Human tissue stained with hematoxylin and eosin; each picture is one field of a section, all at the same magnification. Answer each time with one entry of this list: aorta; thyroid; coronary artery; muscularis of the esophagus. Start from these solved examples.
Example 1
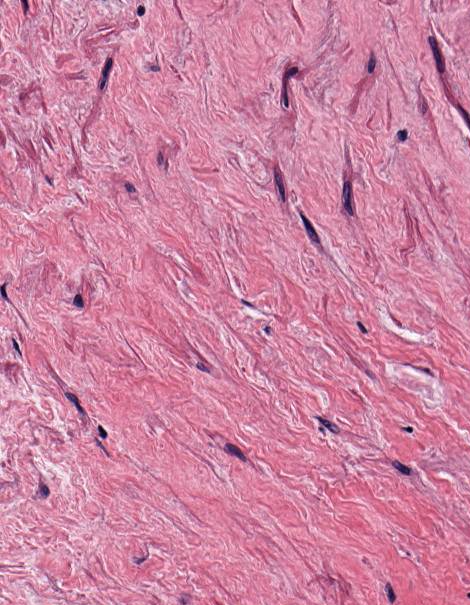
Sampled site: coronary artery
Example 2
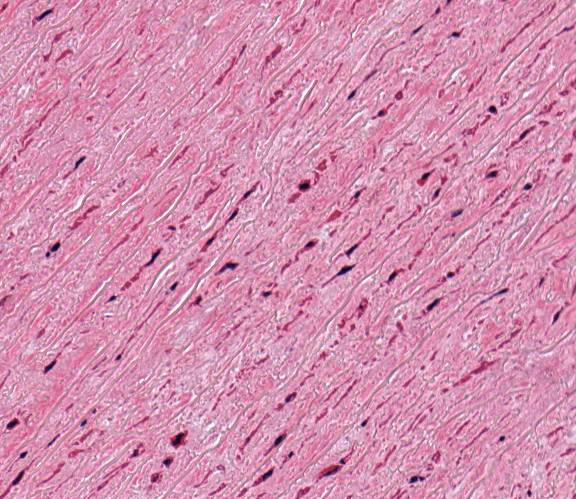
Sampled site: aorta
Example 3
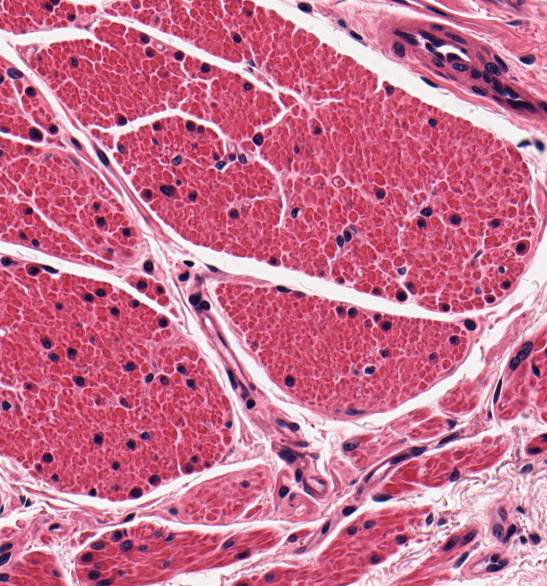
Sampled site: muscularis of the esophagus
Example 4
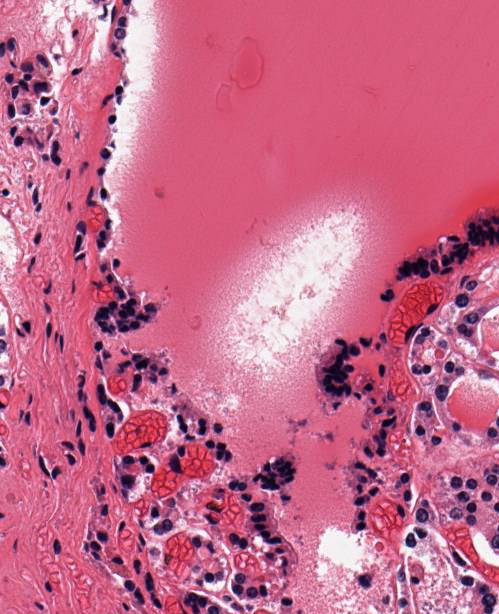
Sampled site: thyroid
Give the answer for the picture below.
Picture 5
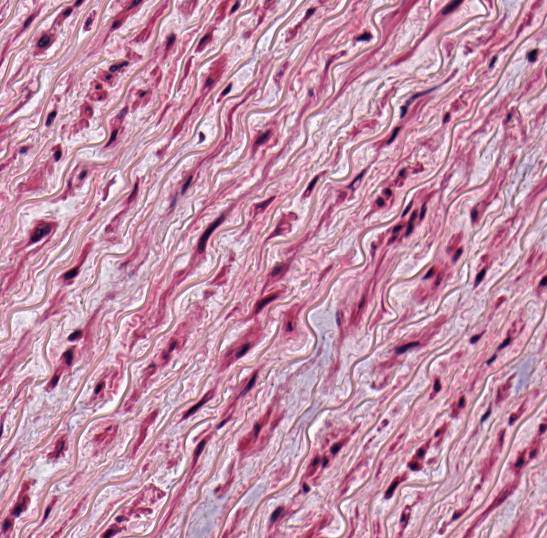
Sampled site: aorta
